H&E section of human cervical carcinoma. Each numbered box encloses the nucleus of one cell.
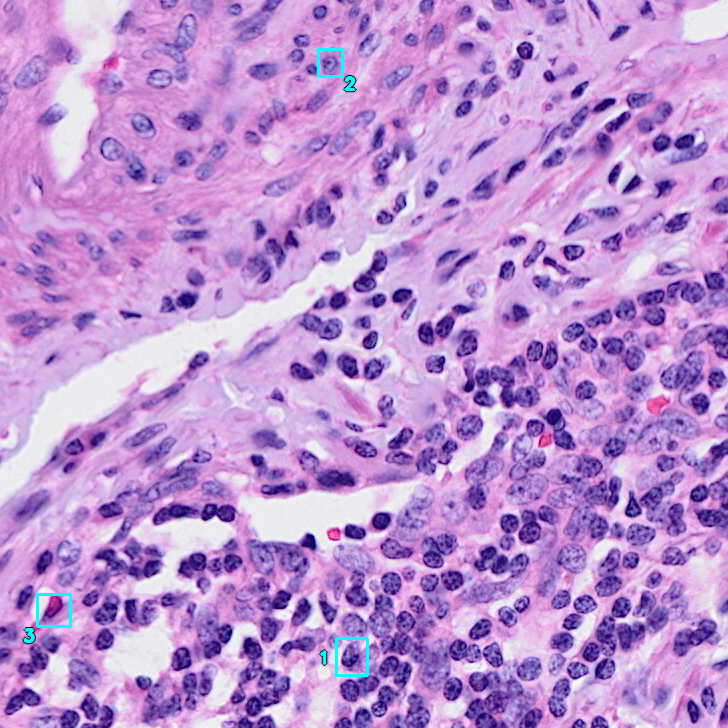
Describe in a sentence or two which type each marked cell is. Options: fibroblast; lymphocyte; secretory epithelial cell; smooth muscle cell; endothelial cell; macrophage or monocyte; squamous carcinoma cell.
Cell 1 is a lymphocyte. Cell 2 is a smooth muscle cell. Cell 3 is an endothelial cell.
